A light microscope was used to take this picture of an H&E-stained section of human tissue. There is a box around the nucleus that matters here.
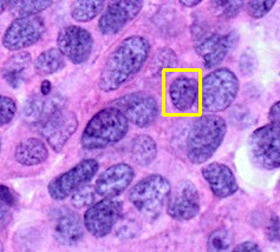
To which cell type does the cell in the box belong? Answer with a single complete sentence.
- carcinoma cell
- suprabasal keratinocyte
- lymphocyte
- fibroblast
In this section, the cell in the box is a carcinoma cell.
